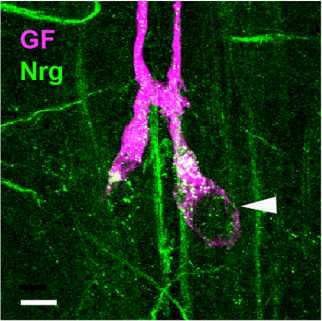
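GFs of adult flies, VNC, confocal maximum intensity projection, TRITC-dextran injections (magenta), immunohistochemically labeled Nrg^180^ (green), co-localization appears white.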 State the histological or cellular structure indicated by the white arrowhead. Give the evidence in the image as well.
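The arrowhead points to a large round swelling at the end of one magenta fiber. The swelling has a thin magenta rim and a mostly empty interior. That points to this answer: A large vacuole.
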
